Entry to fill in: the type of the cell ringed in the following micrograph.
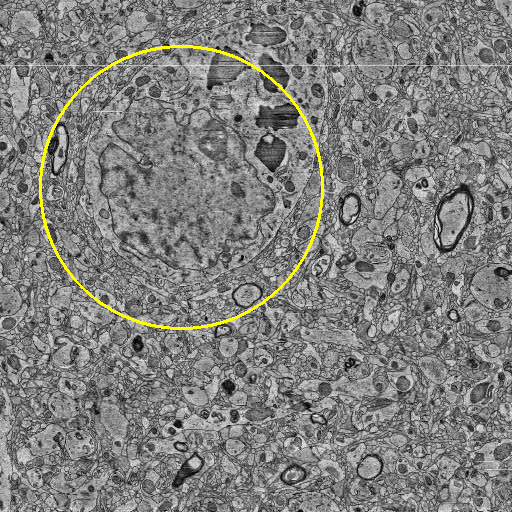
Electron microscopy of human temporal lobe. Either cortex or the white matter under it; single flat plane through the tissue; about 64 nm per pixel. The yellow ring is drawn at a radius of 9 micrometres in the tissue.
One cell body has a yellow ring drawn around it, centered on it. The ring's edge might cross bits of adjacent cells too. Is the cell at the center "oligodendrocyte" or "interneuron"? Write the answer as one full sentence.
This entry names an interneuron as the cell whose body lies at the ring's center.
